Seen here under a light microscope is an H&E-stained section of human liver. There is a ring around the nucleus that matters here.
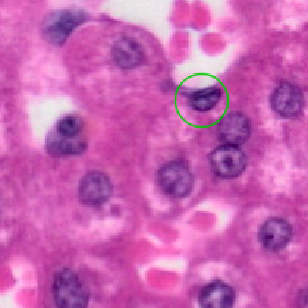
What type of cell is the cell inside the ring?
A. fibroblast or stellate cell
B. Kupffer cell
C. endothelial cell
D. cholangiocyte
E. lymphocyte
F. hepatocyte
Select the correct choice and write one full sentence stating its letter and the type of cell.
Option A is the correct one: the cell inside the ring is a fibroblast or stellate cell.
